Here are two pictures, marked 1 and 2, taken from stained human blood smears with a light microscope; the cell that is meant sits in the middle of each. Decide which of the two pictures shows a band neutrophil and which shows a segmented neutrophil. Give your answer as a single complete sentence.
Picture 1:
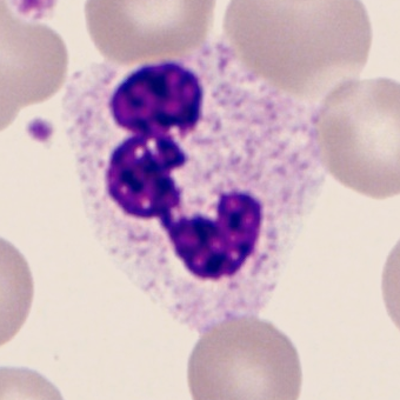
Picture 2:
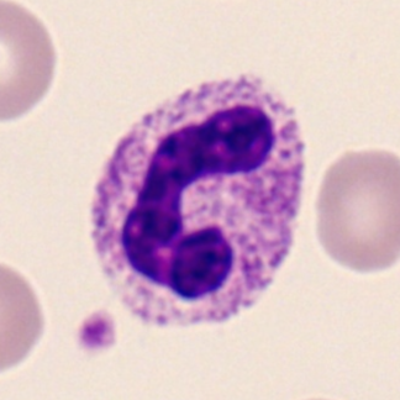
Picture 2 shows a band neutrophil, while picture 1 shows a segmented neutrophil.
